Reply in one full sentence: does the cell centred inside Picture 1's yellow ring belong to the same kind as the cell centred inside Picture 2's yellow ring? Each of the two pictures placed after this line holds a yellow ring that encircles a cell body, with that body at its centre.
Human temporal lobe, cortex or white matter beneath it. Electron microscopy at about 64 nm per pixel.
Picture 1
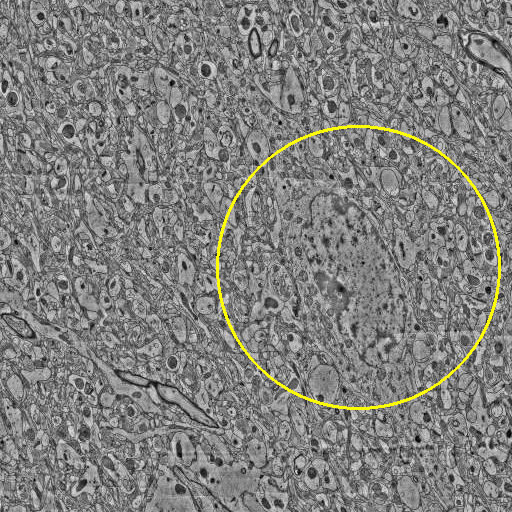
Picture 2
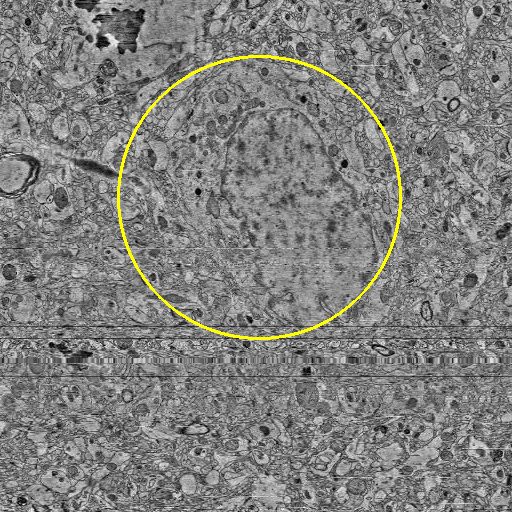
Yes, the ring-centred cells in Picture 1 and Picture 2 are of one and the same kind.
